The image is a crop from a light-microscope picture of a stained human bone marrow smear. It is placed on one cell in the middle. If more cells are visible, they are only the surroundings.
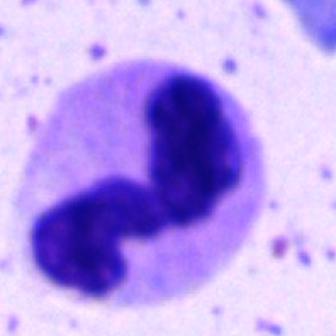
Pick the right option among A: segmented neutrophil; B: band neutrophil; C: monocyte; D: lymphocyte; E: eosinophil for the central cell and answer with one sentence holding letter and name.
Option A is correct in naming the middle cell a segmented neutrophil.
